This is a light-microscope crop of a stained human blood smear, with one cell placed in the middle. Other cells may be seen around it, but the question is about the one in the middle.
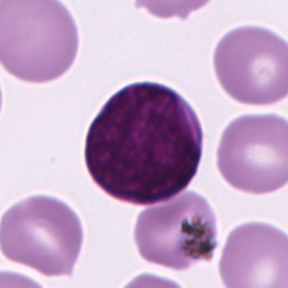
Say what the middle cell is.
blast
